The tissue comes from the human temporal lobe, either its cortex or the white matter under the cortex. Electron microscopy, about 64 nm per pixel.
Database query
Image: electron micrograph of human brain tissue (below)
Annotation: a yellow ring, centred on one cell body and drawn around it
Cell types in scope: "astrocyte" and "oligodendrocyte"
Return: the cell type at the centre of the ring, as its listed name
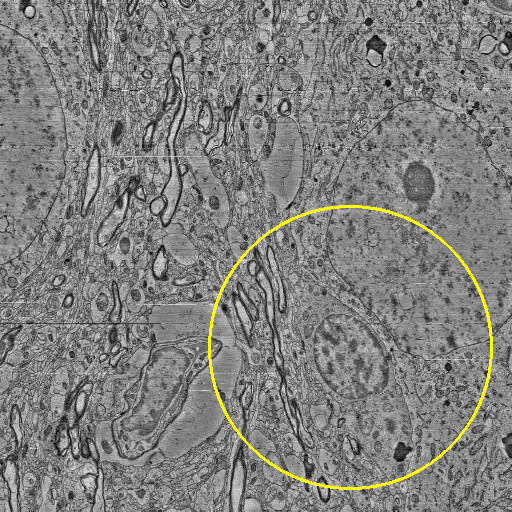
oligodendrocyte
